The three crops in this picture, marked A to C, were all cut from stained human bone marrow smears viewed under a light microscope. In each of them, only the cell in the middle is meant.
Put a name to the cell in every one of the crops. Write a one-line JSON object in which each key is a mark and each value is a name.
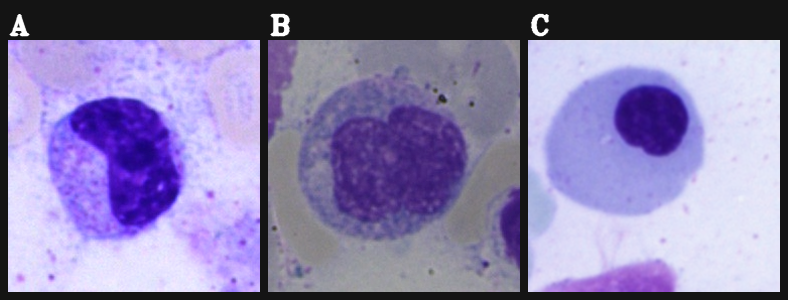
{"A": "metamyelocyte", "B": "monocyte", "C": "erythroblast"}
